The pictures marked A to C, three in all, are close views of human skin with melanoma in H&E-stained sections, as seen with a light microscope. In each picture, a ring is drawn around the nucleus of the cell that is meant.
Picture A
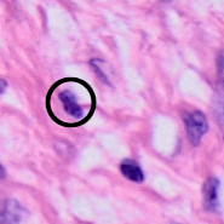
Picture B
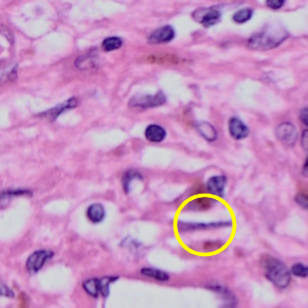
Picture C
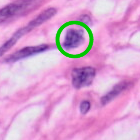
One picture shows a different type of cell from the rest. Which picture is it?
B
